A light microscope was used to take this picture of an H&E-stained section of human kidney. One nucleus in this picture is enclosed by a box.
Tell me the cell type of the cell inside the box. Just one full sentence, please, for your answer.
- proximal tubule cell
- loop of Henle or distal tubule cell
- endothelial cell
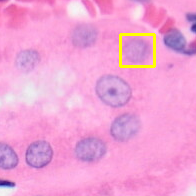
Within this tissue, the cell inside the box is a proximal tubule cell.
